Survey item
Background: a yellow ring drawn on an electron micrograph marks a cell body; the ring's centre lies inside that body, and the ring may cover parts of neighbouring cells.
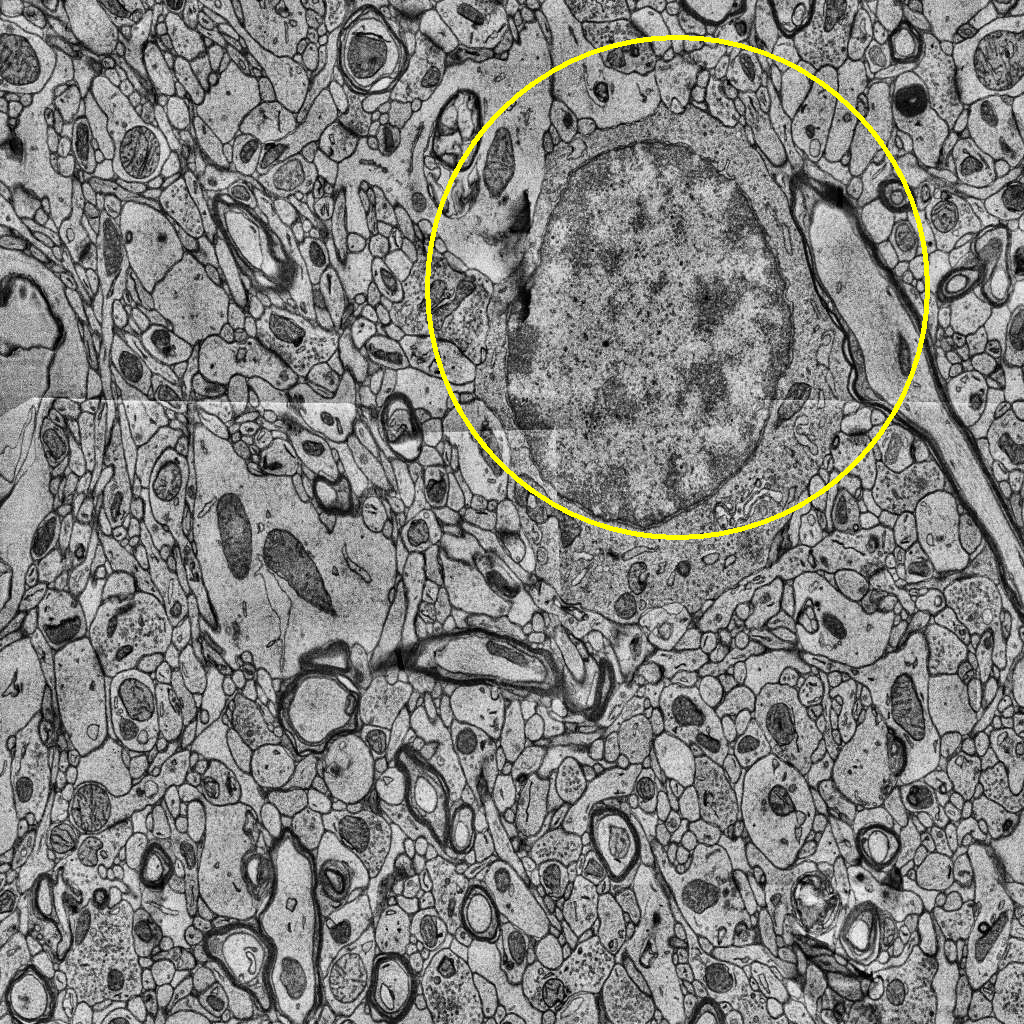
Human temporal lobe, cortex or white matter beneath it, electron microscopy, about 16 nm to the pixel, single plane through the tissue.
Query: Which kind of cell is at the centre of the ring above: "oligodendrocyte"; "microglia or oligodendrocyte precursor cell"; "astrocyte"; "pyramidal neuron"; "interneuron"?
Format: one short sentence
The cell in the middle of the ring is an oligodendrocyte.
